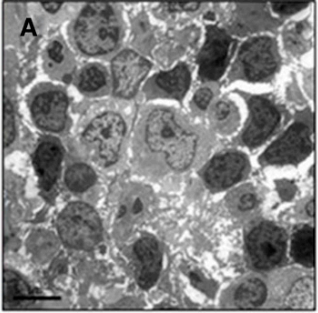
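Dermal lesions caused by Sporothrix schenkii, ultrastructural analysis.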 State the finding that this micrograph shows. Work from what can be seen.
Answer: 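Many closely packed rounded cells fill the field. The cells have nuclei of differing shapes and densities. Little extracellular matrix lies between the cells. On this evidence: Inflammatory infiltrates.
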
